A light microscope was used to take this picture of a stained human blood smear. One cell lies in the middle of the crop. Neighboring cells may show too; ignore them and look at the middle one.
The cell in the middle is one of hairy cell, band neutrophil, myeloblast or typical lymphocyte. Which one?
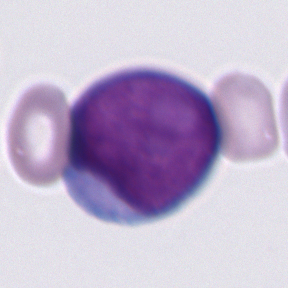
myeloblast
